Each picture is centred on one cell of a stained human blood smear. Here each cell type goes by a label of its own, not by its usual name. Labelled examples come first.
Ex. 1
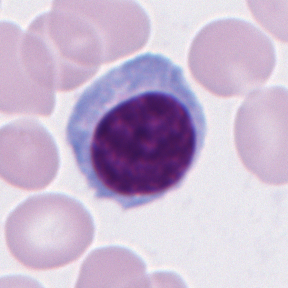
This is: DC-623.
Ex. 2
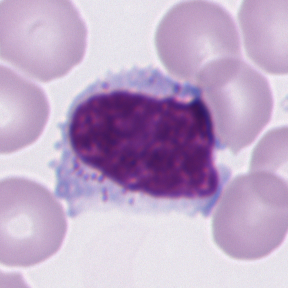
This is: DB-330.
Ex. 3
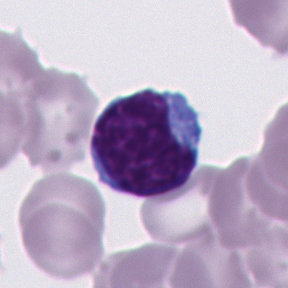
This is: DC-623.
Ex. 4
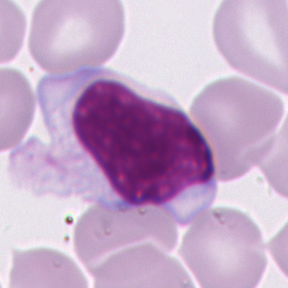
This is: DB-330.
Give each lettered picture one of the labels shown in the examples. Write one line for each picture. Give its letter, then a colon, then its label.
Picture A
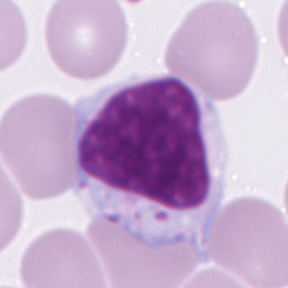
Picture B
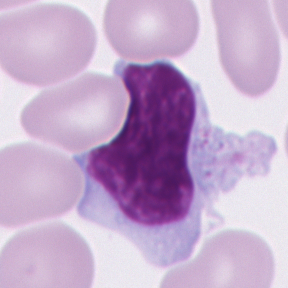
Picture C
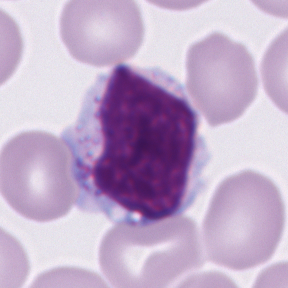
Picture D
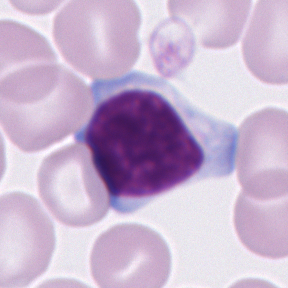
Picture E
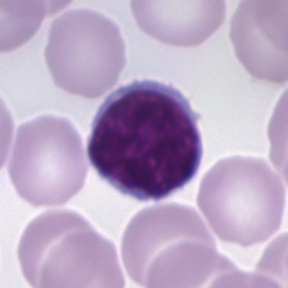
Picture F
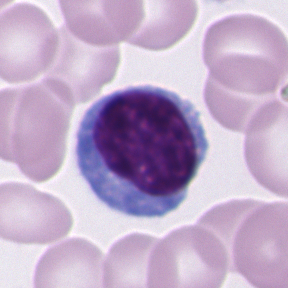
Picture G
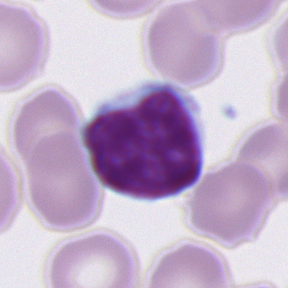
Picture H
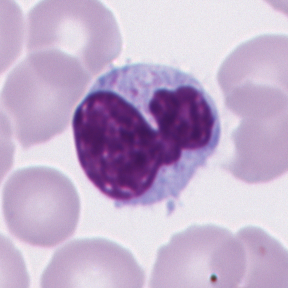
A: DB-330.
B: DB-330.
C: DB-330.
D: DC-623.
E: DC-623.
F: DC-623.
G: DC-623.
H: DB-330.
